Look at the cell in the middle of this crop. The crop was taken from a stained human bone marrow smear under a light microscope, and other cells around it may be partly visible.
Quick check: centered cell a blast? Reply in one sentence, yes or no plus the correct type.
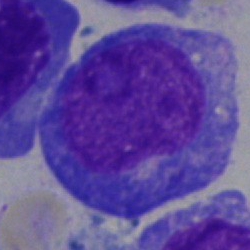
Yes, the cell at the centre is designated a blast.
